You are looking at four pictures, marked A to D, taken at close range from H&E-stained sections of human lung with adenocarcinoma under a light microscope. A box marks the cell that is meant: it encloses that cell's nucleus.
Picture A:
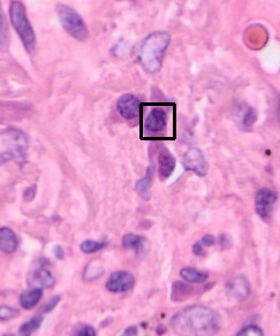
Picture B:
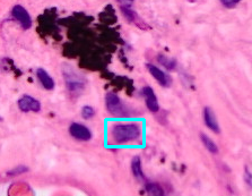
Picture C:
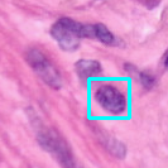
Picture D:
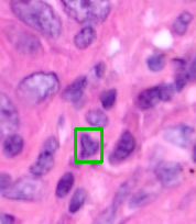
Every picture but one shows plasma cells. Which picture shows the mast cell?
C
